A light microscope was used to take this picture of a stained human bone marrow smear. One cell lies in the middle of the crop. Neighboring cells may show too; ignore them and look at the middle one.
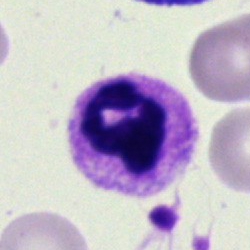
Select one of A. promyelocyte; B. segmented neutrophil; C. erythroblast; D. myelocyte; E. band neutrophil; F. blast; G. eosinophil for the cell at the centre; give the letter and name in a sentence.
Since the cell in the middle is a segmented neutrophil, option B is correct.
